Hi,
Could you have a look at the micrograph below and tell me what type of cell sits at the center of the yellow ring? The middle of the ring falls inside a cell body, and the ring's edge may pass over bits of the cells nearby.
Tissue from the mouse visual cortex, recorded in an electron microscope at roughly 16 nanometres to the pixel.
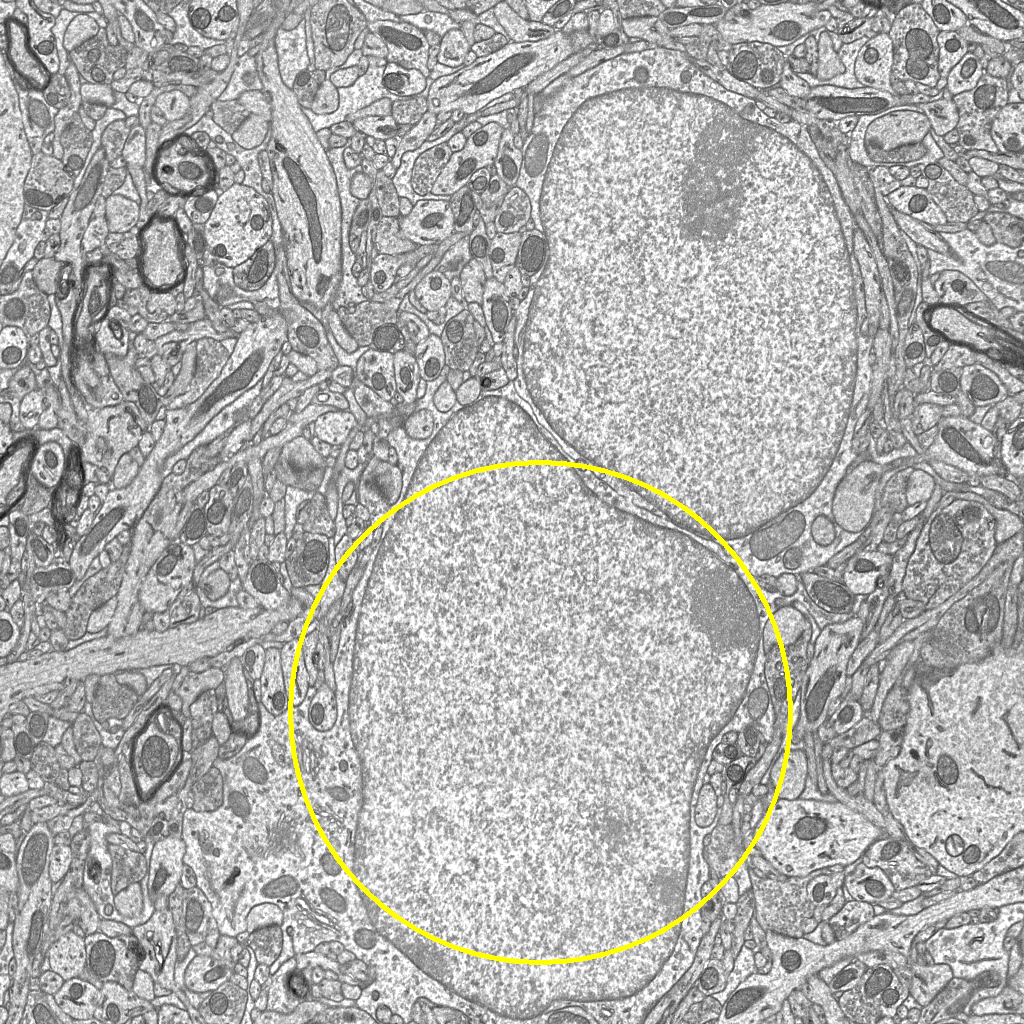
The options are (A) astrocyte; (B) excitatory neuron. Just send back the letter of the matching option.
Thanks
A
